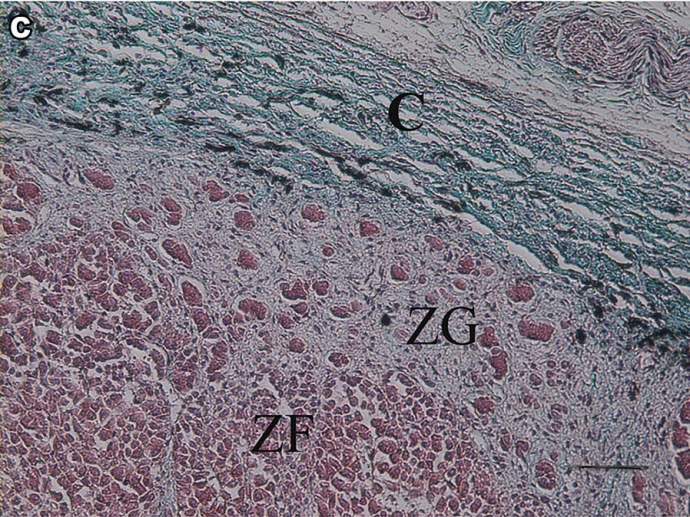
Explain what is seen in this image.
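Adrenal gland with a thick capsule of green-stained collagen fibres at the top. Beneath it the outer cortex contains only small islands and rows of red-stained parenchymal cells scattered in pale stroma, while deeper down the cortical cells are packed more densely in cords.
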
